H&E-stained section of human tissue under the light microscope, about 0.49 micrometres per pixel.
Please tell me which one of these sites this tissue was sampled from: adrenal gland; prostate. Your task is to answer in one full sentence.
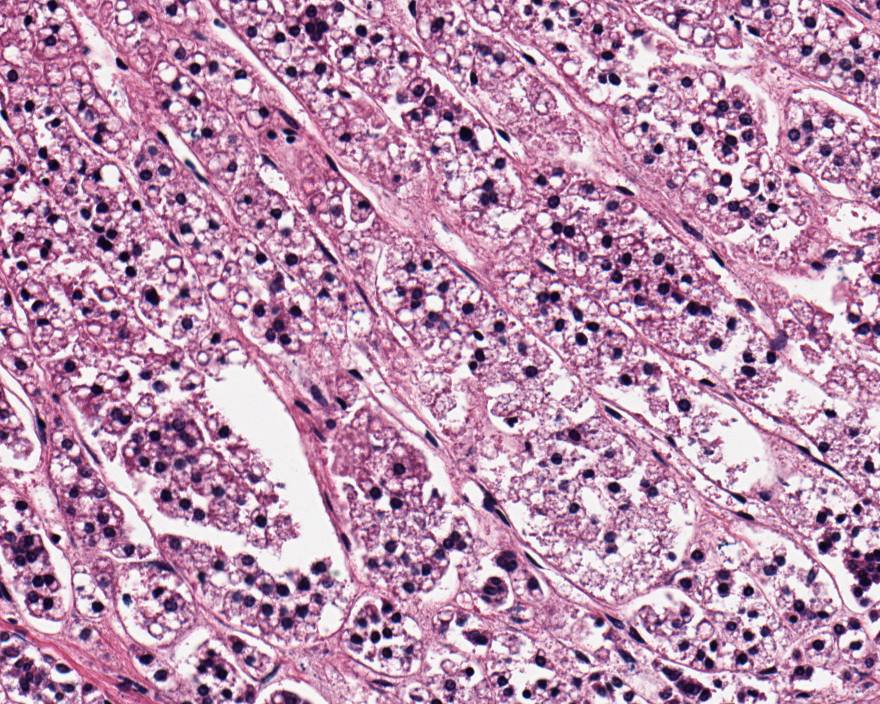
This section represents tissue sampled from the adrenal gland.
